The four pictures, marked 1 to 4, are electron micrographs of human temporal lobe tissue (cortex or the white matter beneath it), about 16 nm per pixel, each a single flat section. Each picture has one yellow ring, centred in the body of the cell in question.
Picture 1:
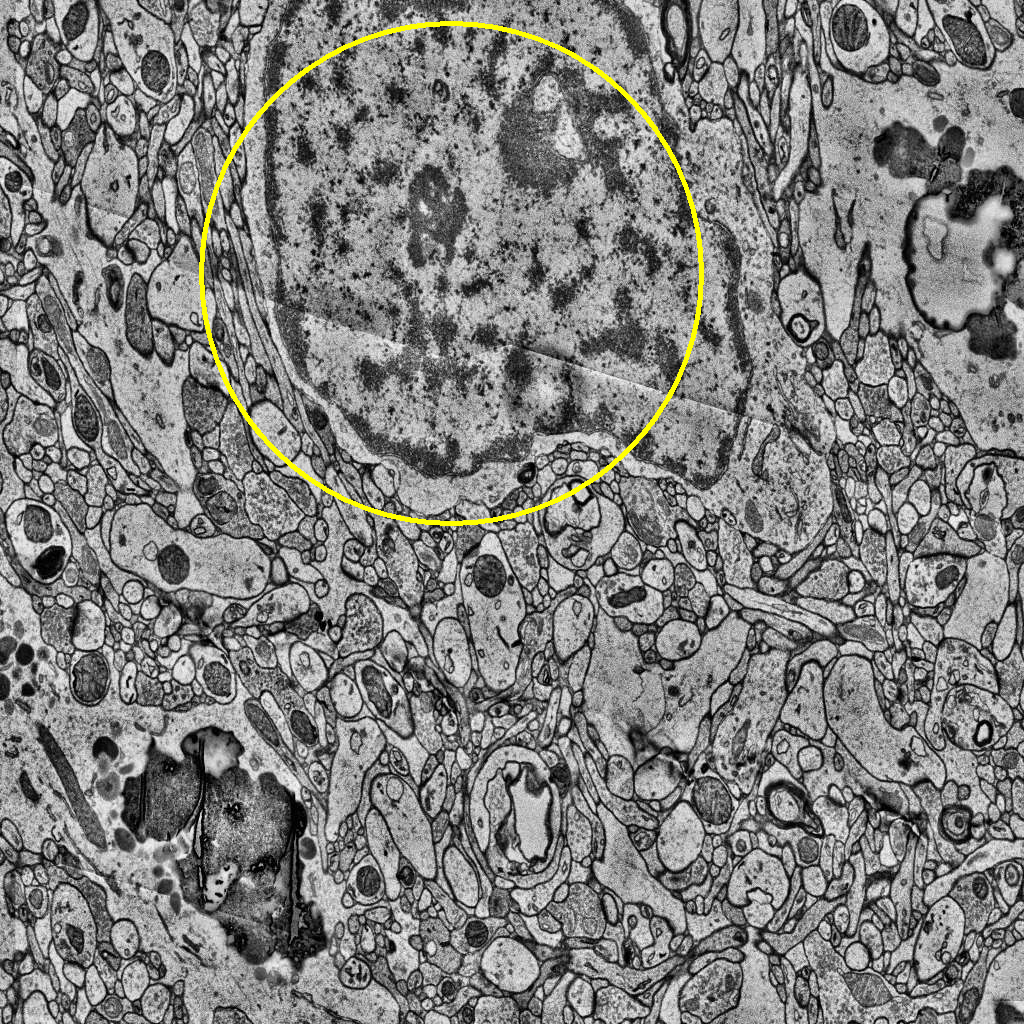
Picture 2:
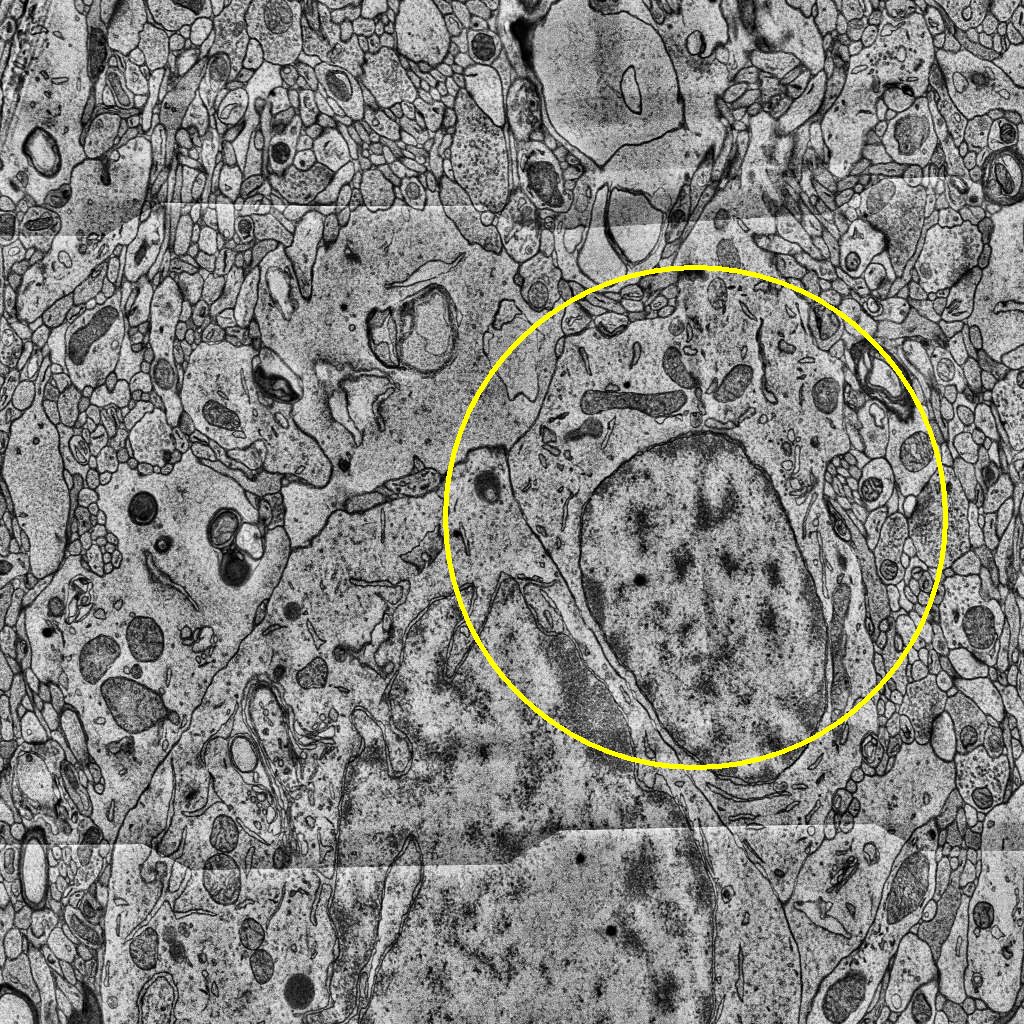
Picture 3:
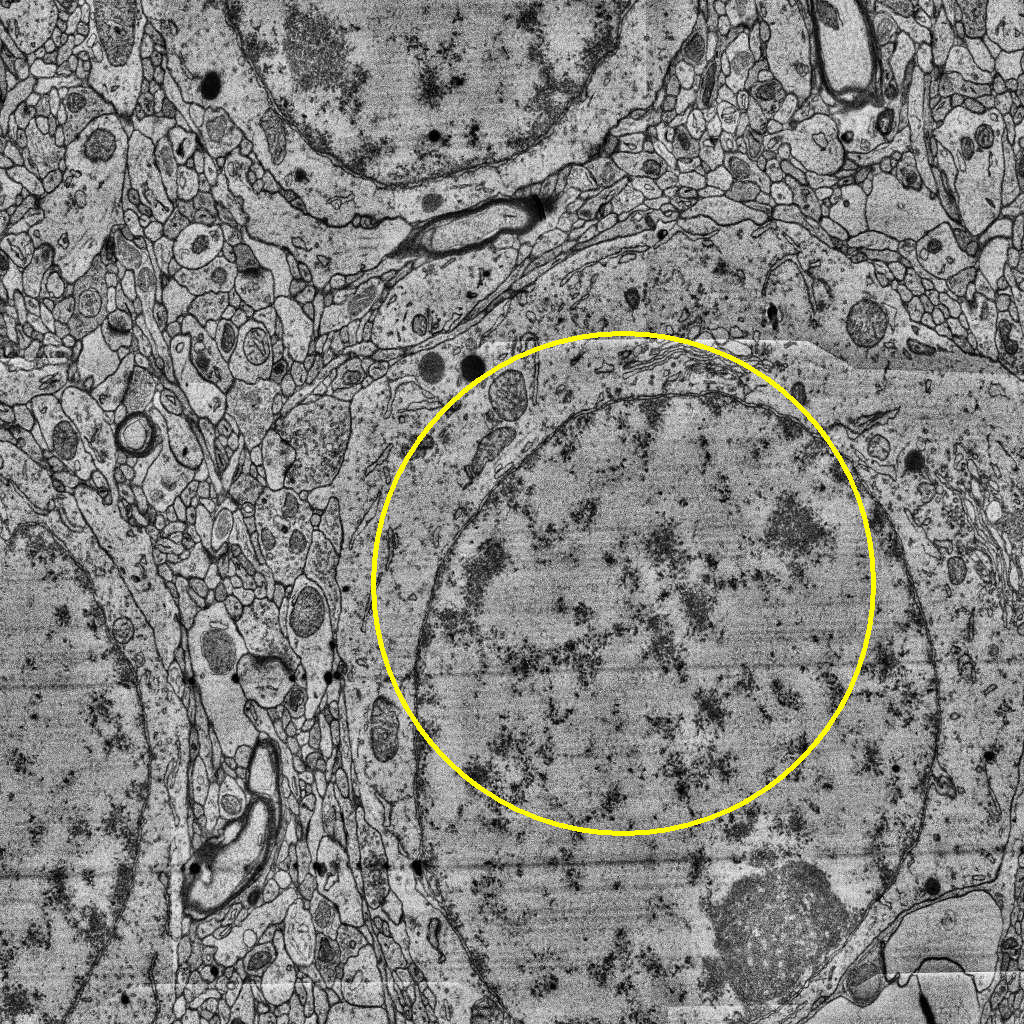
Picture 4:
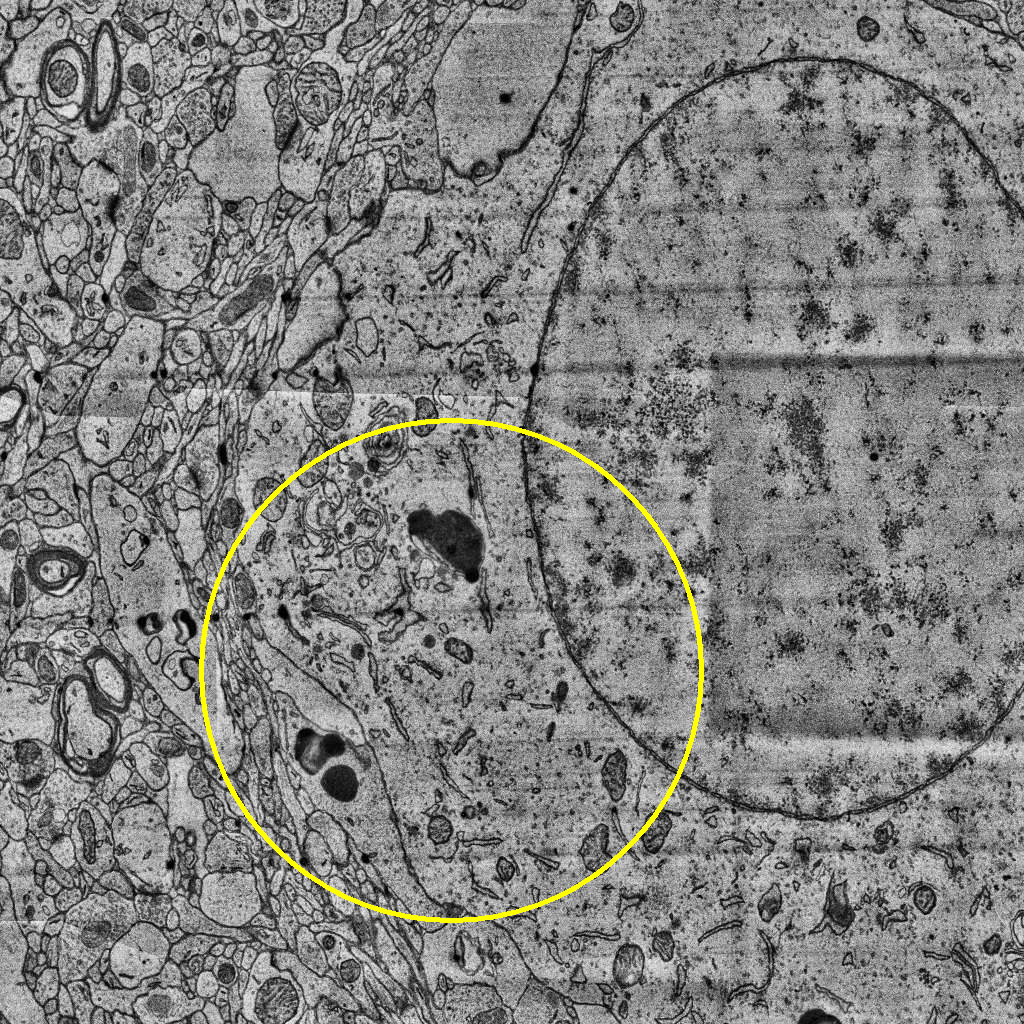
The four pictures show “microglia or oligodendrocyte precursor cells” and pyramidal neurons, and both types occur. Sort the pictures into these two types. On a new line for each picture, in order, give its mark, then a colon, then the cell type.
1: microglia or oligodendrocyte precursor cell
2: microglia or oligodendrocyte precursor cell
3: pyramidal neuron
4: microglia or oligodendrocyte precursor cell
